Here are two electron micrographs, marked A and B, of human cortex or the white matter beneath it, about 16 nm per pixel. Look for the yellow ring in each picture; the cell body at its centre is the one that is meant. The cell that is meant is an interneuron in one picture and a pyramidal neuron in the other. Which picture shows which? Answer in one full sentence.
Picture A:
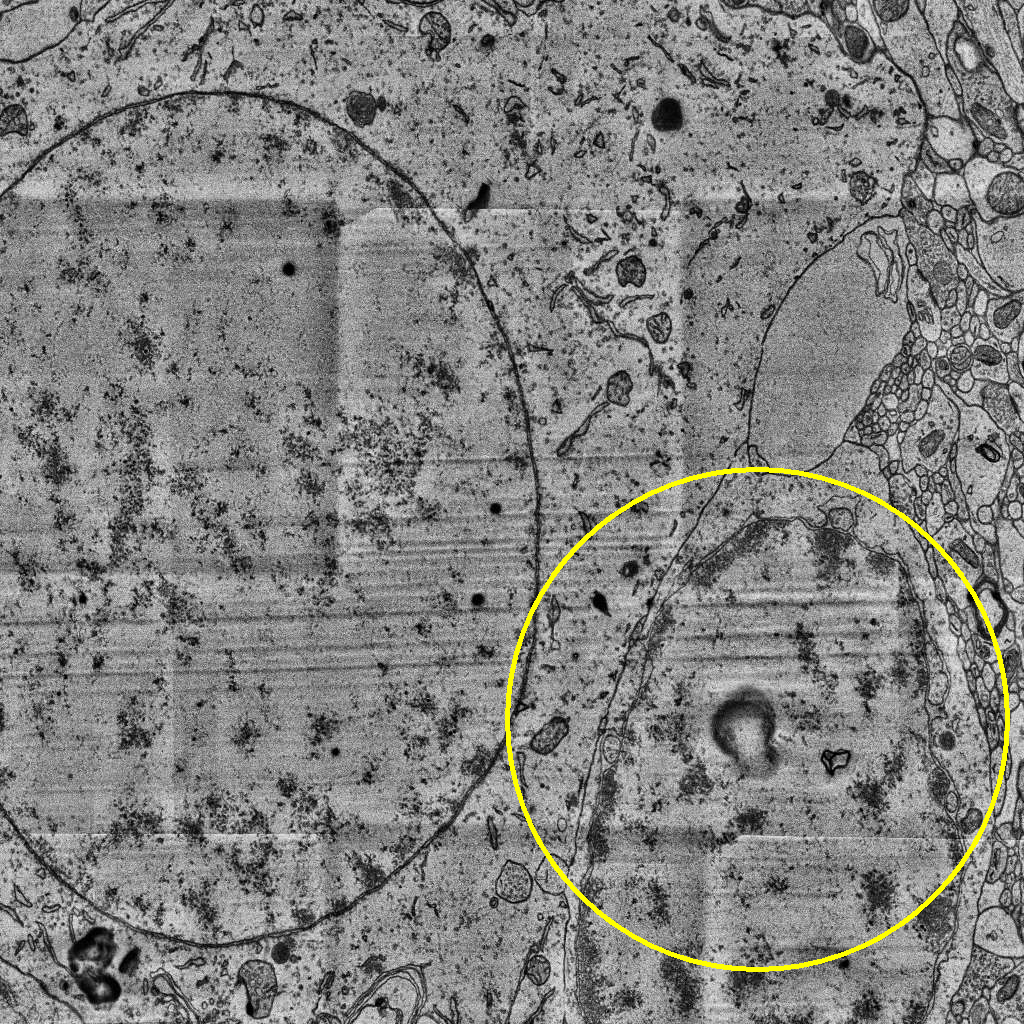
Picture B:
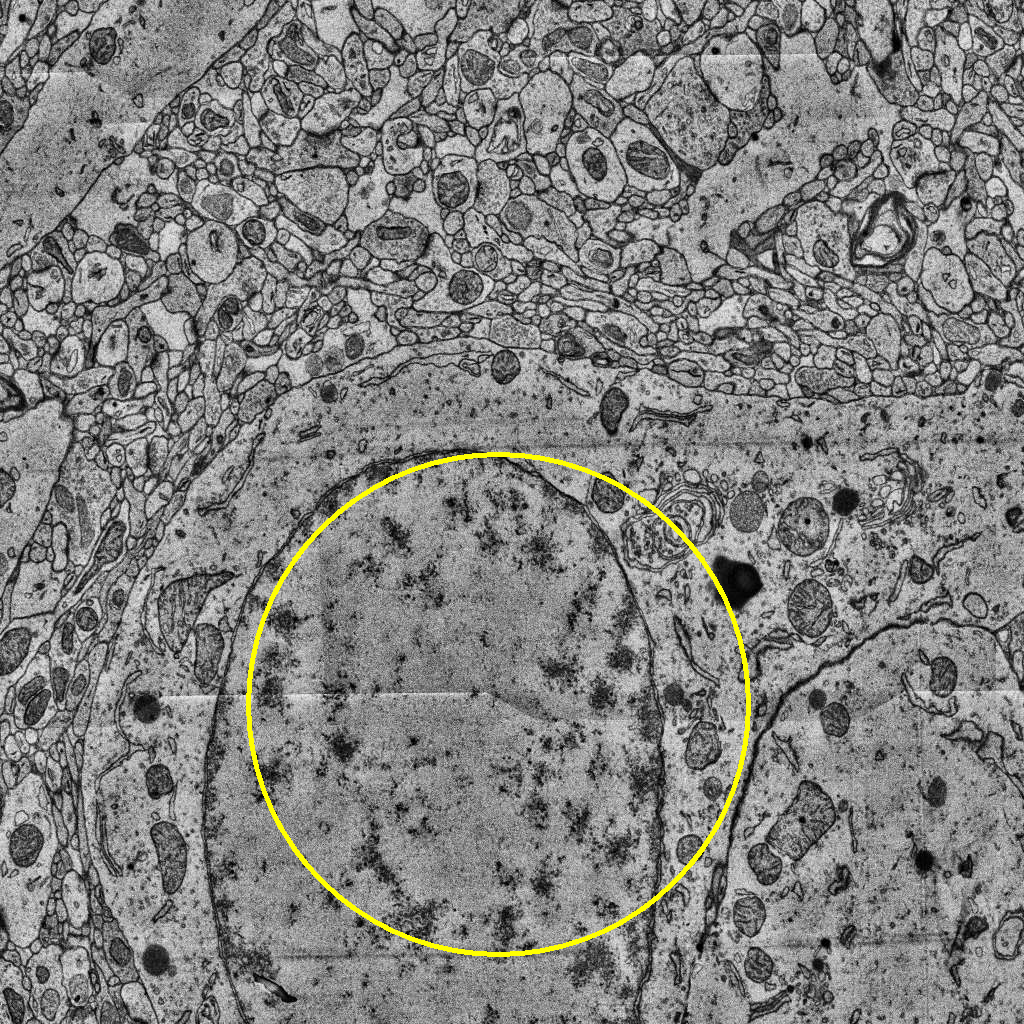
In picture A the cell is an interneuron; in picture B, a pyramidal neuron.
